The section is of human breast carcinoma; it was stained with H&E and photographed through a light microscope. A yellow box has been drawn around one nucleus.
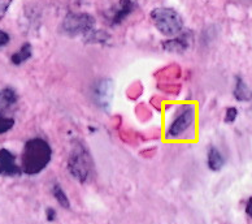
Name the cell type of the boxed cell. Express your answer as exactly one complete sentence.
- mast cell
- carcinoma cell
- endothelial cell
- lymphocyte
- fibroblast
Considered by cell type, the boxed cell is an endothelial cell.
